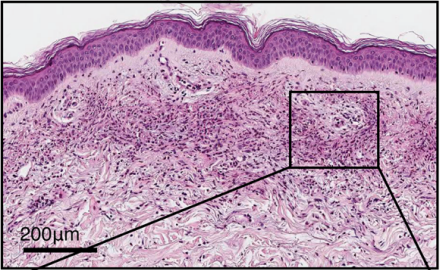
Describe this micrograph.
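Skin at low power, showing the epidermis and a densely cellular dermis. The epidermis is a thin, gently undulating stratified squamous layer with purple nuclei and a loose, pale pink keratin layer on its surface. Directly below it, the upper and mid dermis are filled with a broad band of densely packed cells whose small, dark purple nuclei spread diffusely between the collagen rather than forming discrete clusters. Lower down, the dermis becomes paler and less cellular, with pink, wavy collagen bundles separated by clear spaces and only scattered nuclei.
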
